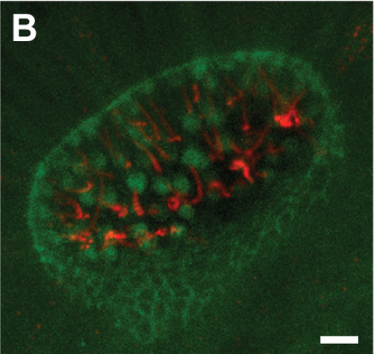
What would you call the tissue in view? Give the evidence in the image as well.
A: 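A discrete oval cluster of cells outlined by a green rim. Red ciliary threads project from cells at its centre. So: neuromast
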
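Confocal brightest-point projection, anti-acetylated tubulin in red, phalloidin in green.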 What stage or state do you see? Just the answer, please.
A: Rounded morphology.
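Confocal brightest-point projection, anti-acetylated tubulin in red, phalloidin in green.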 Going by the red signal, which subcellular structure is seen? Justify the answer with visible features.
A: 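Thin red threadlike processes arise from the central cluster of the organ. The red threads are confined to the middle of the green oval. That points to this answer: kinocilia.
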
